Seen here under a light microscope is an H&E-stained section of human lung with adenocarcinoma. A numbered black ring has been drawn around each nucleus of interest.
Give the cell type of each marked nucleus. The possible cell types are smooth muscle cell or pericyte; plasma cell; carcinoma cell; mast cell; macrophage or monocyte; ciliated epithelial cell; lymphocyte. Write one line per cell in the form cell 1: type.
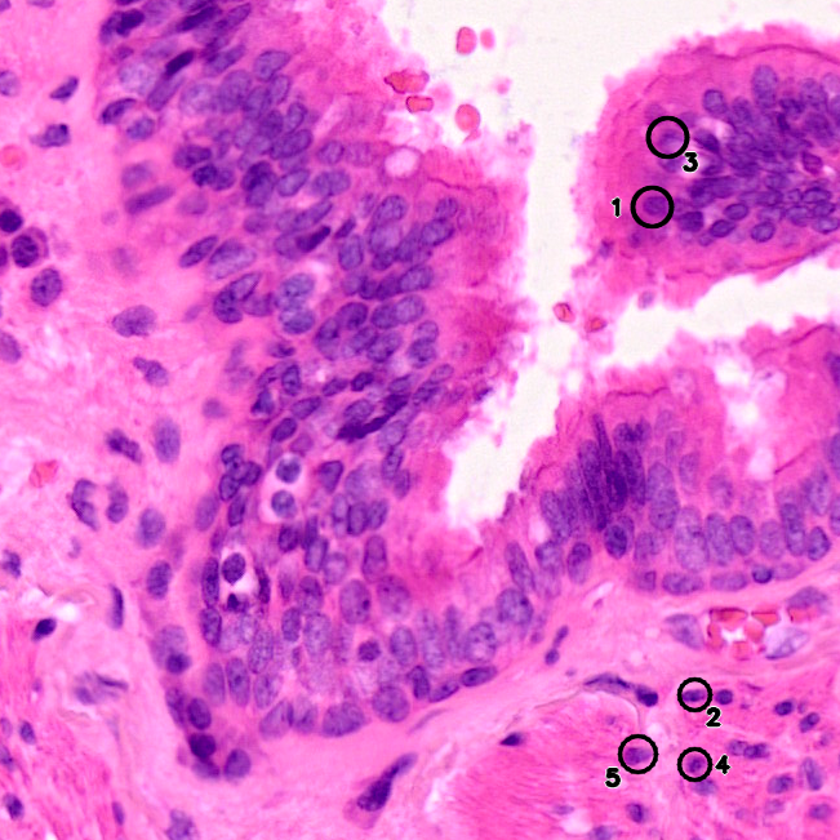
cell 1: ciliated epithelial cell
cell 2: smooth muscle cell or pericyte
cell 3: ciliated epithelial cell
cell 4: smooth muscle cell or pericyte
cell 5: smooth muscle cell or pericyte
